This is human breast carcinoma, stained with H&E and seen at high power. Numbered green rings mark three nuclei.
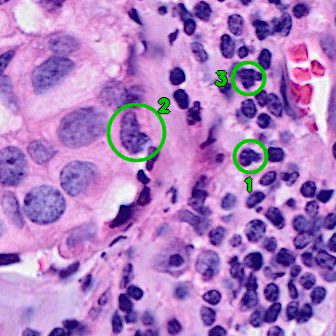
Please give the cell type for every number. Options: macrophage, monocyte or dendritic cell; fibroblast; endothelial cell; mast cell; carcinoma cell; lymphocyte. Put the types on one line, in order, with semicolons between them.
lymphocyte; carcinoma cell; lymphocyte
